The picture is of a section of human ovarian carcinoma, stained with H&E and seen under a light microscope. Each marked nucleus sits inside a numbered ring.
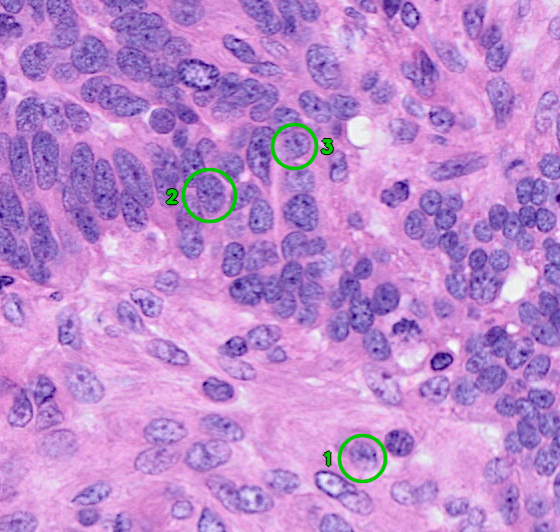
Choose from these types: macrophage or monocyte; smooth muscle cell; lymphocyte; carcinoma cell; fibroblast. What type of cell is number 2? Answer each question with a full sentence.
The nucleus with number 2 is that of a carcinoma cell.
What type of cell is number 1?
The cell marked with the number 1 is a fibroblast.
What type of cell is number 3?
Cell 3 of the marked set is a carcinoma cell.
